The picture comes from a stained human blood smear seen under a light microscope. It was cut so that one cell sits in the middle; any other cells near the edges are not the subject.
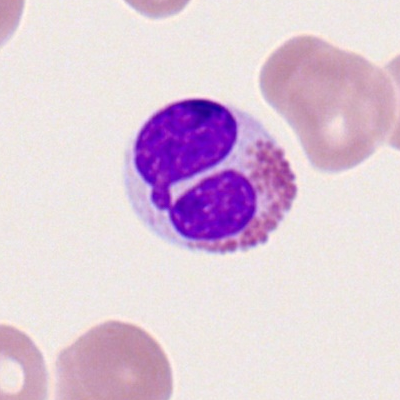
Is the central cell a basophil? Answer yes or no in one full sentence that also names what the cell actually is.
No, the central cell is classed as an eosinophil, not a basophil.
